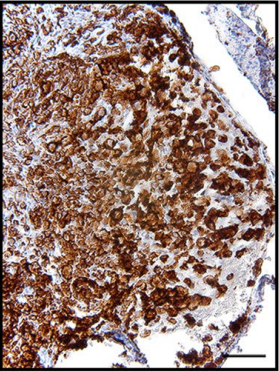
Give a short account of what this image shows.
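The brown cells are densely packed across nearly the whole field, most of them rounded or plump with few visible processes, giving a cobblestone-like appearance in places. Between them lies pale, loosely textured tissue with small blue nuclei. At the right edge the tissue meets a thin, pale, fibrous border.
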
